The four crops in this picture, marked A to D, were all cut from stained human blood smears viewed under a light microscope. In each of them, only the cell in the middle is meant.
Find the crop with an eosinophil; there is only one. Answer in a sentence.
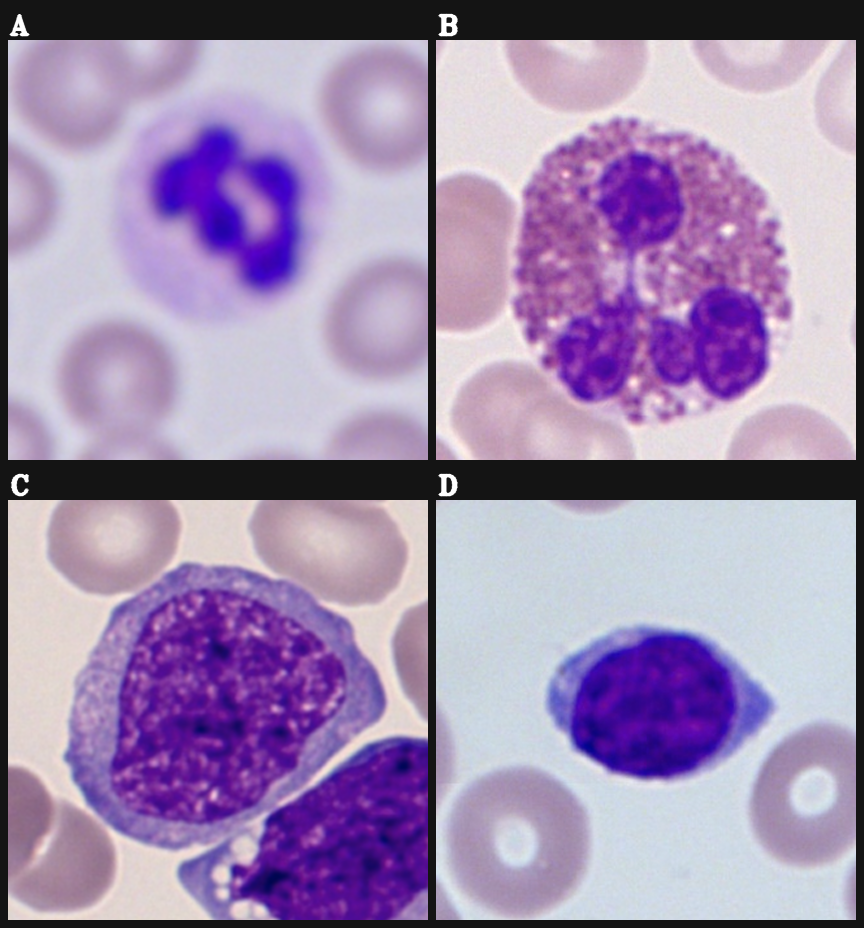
It is crop B that shows an eosinophil.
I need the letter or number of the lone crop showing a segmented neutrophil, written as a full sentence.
The crop marked A is the one that shows a segmented neutrophil.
